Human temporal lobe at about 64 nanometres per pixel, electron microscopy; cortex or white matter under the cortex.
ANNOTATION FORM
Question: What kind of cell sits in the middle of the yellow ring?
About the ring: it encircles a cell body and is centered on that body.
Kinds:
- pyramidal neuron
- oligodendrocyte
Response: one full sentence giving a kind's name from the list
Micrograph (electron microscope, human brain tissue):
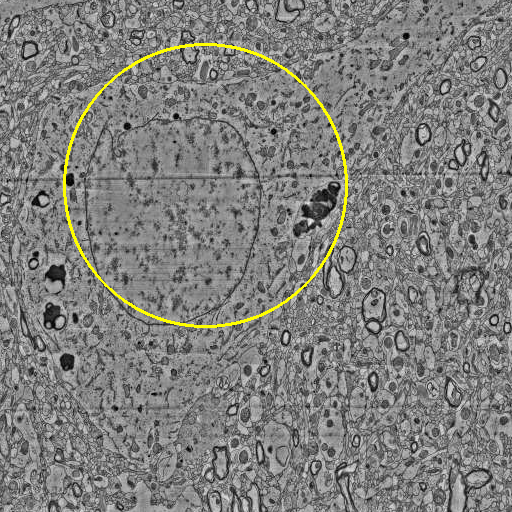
The kind of cell found at the center of the yellow ring in the micrograph is a pyramidal neuron.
